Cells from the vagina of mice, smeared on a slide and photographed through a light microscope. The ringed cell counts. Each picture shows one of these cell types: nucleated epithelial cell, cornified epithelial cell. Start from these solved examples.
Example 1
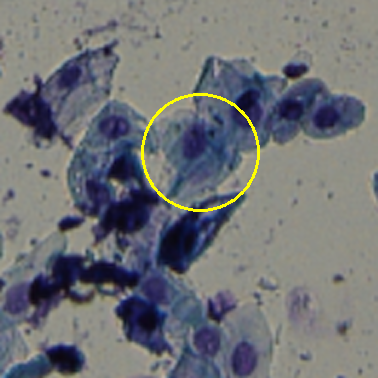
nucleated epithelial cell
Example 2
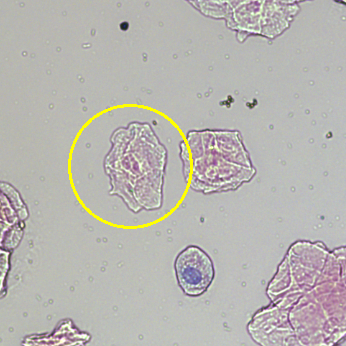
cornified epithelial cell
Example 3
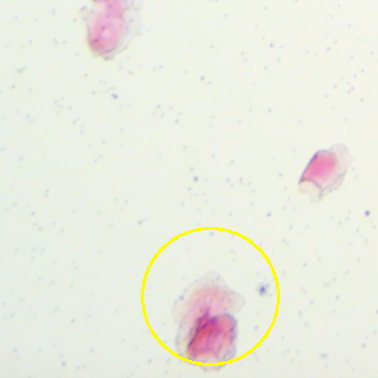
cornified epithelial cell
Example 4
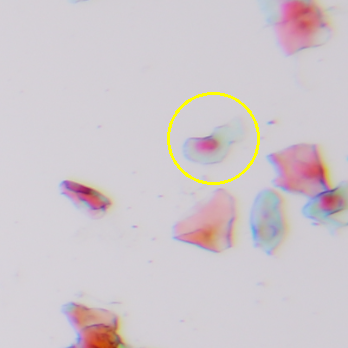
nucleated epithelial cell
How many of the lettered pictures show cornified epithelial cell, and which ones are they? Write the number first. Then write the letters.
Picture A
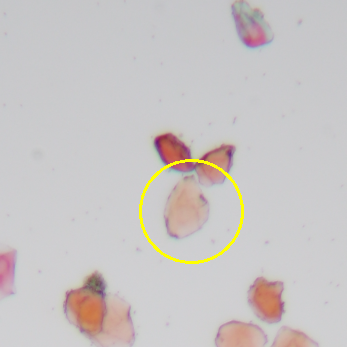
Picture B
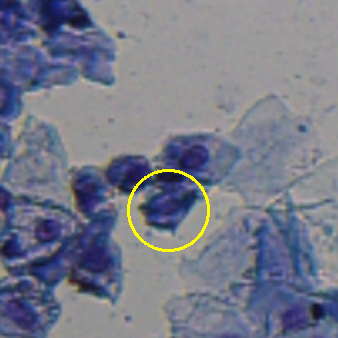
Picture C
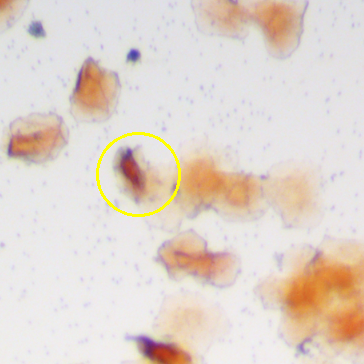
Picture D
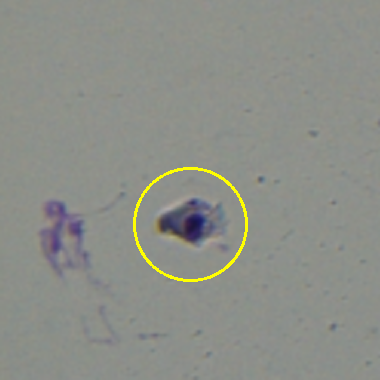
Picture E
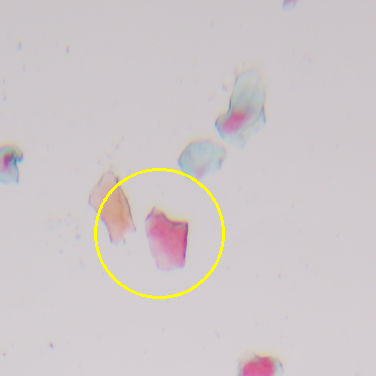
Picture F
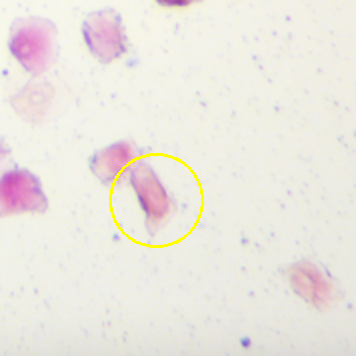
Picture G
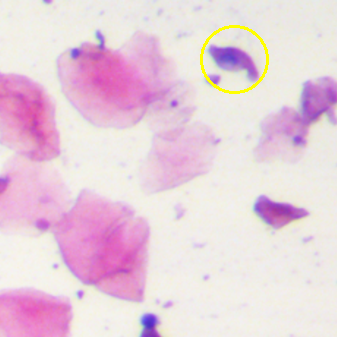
Count: 4 (A, C, E, F)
